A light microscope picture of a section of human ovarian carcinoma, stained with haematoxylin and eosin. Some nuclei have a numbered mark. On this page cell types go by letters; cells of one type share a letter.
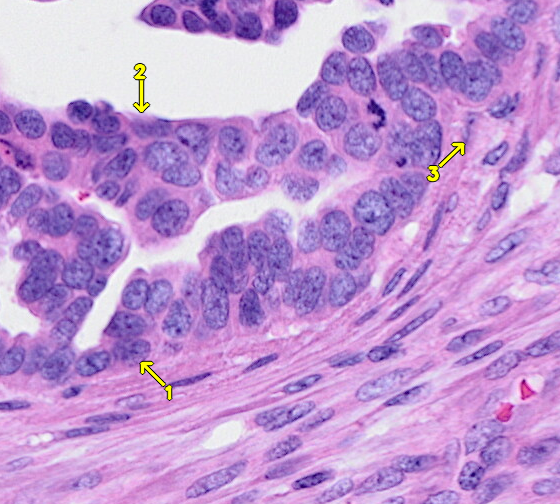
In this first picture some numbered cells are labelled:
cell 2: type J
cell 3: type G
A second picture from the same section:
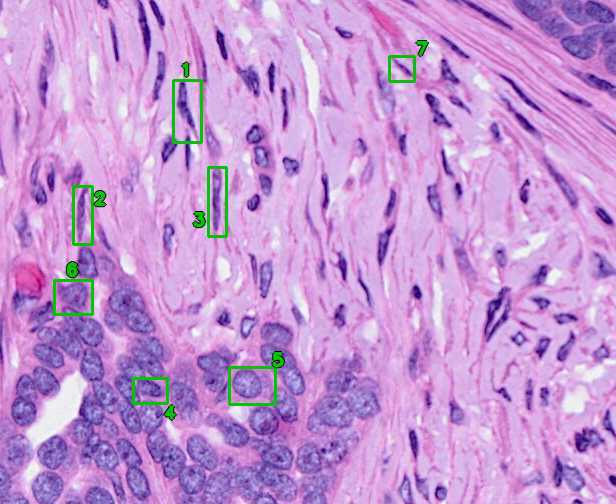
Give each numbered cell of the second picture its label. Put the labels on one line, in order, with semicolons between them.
type G; type G; type G; type J; type J; type J; type G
